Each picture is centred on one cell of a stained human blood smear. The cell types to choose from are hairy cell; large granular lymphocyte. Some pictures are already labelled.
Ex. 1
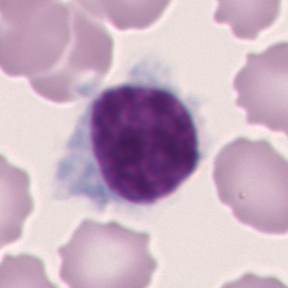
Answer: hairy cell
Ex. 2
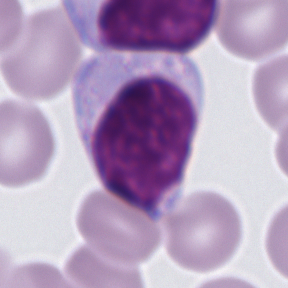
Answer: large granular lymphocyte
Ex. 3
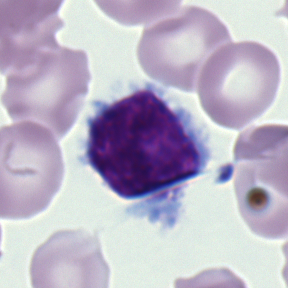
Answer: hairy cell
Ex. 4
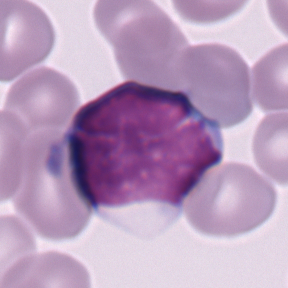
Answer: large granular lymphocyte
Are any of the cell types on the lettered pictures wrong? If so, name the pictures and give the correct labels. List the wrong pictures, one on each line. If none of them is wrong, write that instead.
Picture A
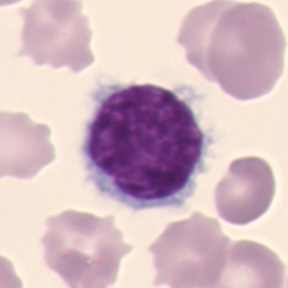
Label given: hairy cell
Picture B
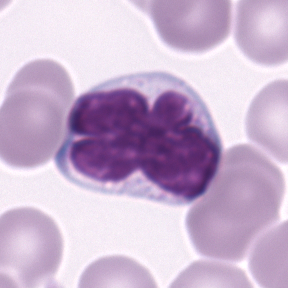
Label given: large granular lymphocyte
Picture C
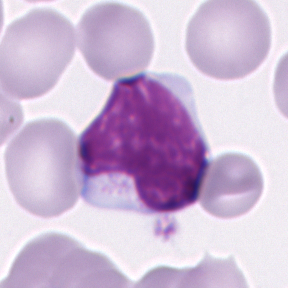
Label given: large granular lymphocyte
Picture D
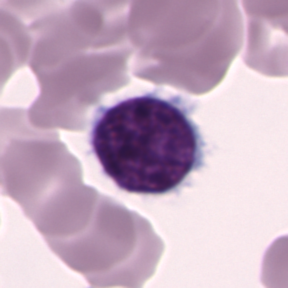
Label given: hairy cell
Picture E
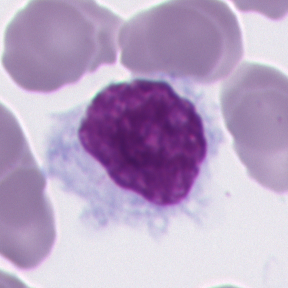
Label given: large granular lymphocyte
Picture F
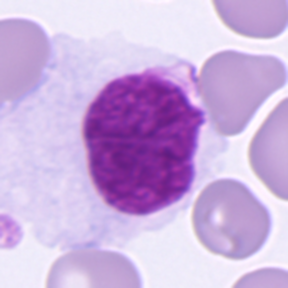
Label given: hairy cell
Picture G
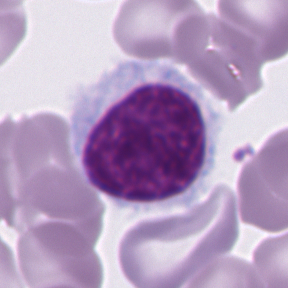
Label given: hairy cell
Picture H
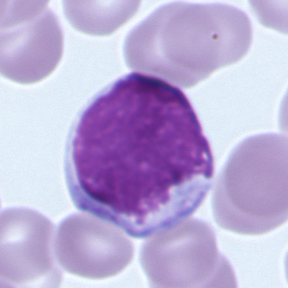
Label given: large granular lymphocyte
E is labelled large granular lymphocyte; correct label: hairy cell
